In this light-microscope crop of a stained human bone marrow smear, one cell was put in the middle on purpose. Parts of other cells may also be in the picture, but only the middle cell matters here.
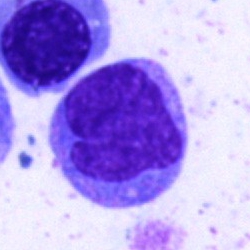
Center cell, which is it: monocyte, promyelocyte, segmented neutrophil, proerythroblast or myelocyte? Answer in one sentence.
At the crop's centre, the cell is a monocyte.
